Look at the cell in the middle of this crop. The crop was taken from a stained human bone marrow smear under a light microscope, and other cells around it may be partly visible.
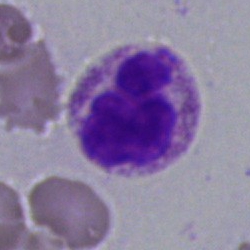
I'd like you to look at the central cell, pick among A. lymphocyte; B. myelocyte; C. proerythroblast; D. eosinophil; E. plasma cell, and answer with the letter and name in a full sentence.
The correct option is D, as the central cell is an eosinophil.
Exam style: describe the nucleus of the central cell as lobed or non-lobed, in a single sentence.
What stands out is the nucleus, split into two or more lobes.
